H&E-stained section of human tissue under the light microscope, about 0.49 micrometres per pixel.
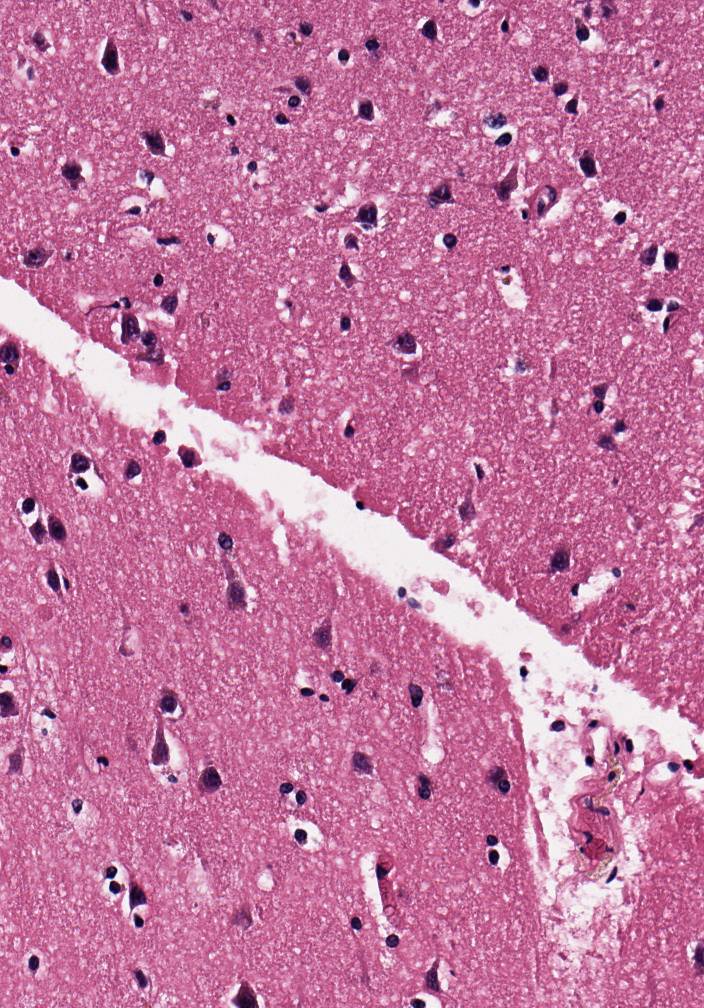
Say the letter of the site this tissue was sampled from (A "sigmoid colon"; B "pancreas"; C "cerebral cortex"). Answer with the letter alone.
C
